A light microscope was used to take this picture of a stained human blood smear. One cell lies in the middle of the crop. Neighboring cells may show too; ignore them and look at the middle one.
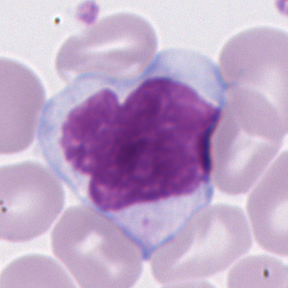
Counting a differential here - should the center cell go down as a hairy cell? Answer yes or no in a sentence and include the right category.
No, what is centred in the crop is not a hairy cell but a large granular lymphocyte.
